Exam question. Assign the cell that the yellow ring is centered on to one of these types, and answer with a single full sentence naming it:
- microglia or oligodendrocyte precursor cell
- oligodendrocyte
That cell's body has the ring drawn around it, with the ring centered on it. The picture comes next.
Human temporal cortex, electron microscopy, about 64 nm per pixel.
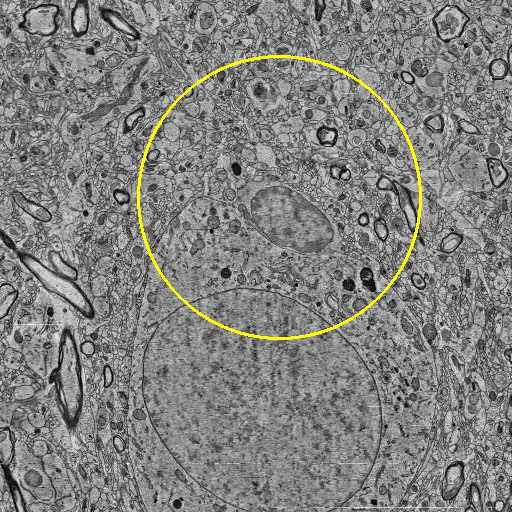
In the micrograph, the cell the yellow ring is centered on is an oligodendrocyte.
